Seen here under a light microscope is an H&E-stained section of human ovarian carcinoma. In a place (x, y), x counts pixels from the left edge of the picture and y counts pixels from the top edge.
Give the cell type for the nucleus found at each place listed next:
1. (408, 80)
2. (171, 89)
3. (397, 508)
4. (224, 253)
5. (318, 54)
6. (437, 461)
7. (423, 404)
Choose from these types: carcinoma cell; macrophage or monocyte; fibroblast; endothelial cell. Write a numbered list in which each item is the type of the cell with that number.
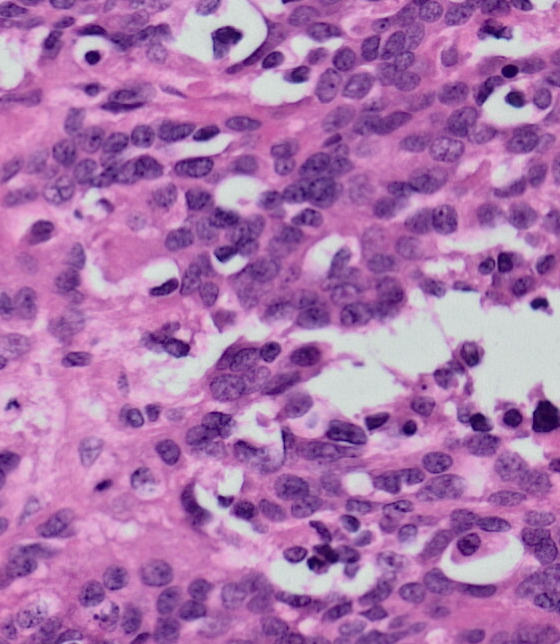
1. carcinoma cell
2. endothelial cell
3. macrophage or monocyte
4. carcinoma cell
5. carcinoma cell
6. macrophage or monocyte
7. macrophage or monocyte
